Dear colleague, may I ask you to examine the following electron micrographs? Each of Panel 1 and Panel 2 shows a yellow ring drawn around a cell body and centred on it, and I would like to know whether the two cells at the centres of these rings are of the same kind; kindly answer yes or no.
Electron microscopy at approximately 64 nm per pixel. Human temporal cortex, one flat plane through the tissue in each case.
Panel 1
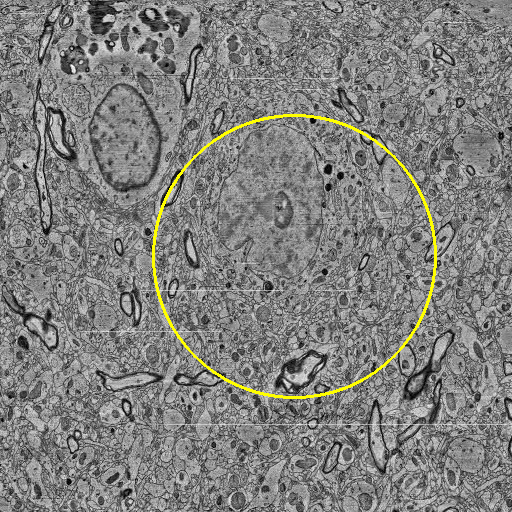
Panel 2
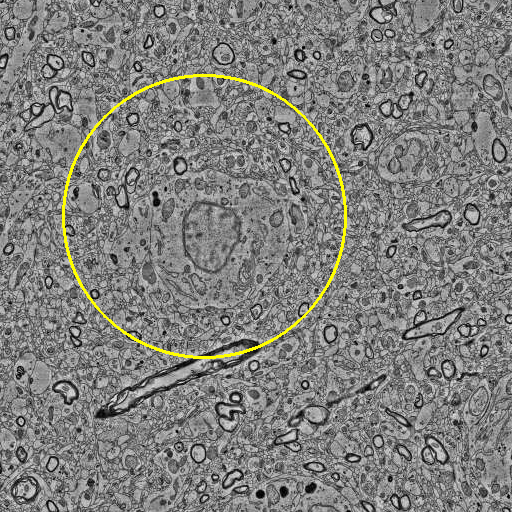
no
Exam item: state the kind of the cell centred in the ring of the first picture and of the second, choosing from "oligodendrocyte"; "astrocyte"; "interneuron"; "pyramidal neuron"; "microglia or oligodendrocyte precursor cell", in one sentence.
The first picture shows an interneuron at the ring centre and the second shows a pyramidal neuron.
